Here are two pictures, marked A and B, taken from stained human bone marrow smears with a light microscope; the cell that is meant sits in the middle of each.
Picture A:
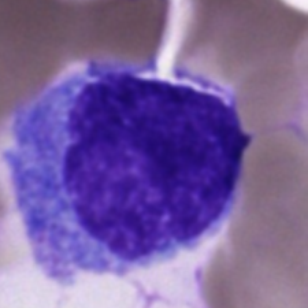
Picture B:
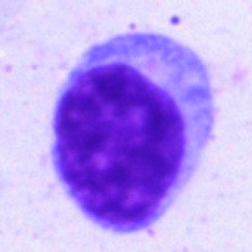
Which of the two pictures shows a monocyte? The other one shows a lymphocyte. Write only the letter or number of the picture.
A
